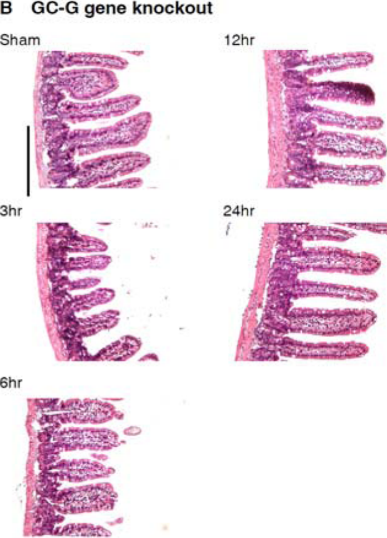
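The villi have a purple epithelial covering and paler cores, and the outer wall is a thin pink band. In some frames the villi are shortened with frayed or detached tips, and loose fragments of tissue lie beside them.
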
